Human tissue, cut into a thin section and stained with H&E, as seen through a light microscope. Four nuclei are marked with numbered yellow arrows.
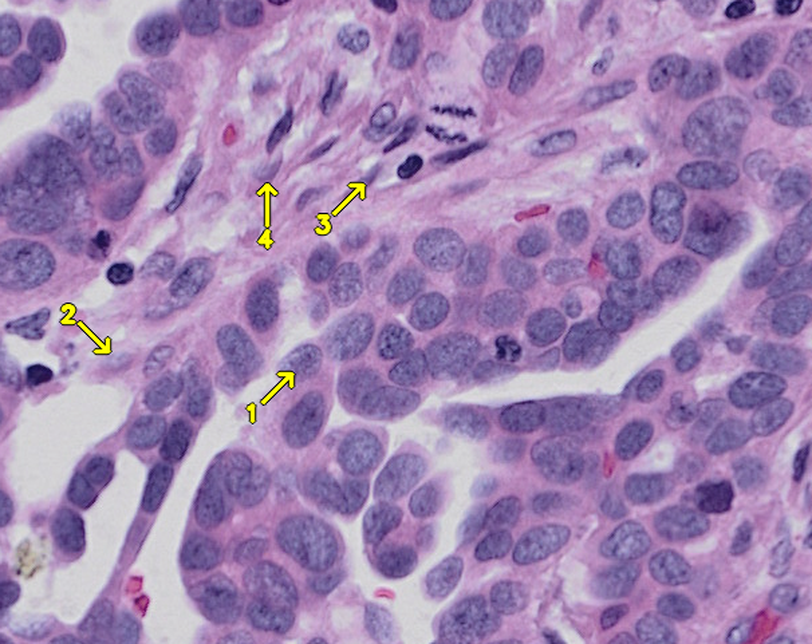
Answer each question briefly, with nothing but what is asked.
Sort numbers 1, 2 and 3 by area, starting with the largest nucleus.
1, 2, 3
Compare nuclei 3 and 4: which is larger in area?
4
